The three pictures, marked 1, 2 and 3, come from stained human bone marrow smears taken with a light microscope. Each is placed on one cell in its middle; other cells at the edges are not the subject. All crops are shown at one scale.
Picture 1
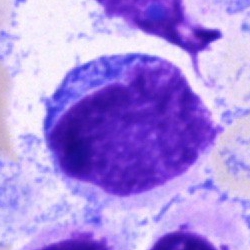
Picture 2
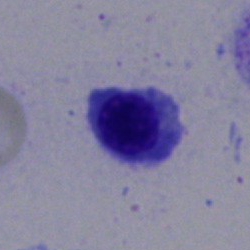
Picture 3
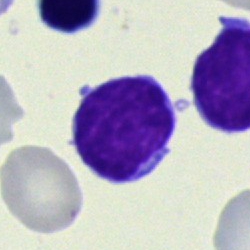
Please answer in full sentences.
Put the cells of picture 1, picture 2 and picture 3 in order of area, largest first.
Going down, they run 1, 3, 2.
